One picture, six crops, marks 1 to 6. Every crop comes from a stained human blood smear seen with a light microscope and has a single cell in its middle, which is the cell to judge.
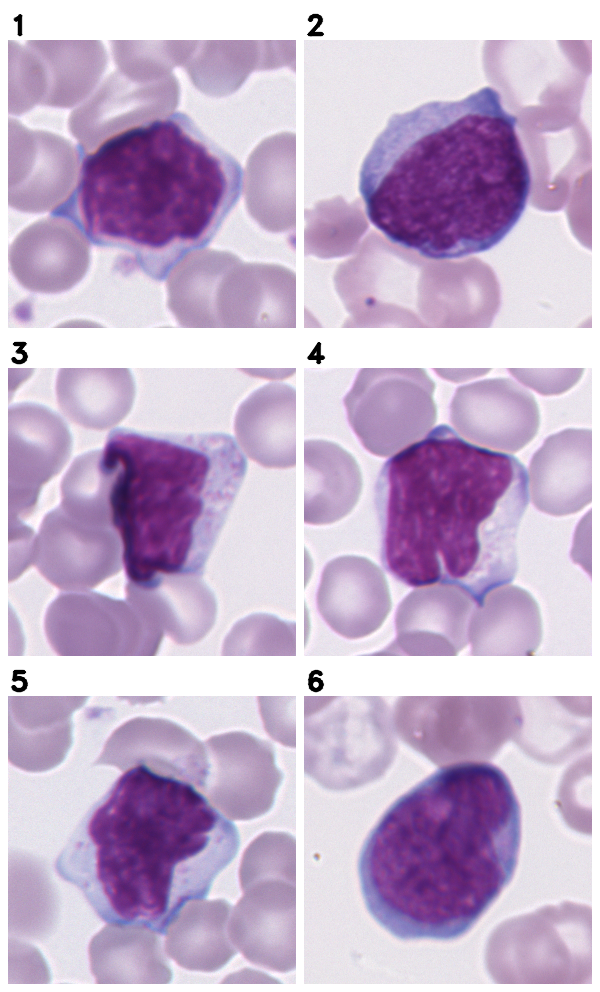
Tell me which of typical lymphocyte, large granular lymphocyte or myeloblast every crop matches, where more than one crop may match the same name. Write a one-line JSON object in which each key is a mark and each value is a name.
{"1": "typical lymphocyte", "2": "myeloblast", "3": "large granular lymphocyte", "4": "large granular lymphocyte", "5": "large granular lymphocyte", "6": "myeloblast"}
